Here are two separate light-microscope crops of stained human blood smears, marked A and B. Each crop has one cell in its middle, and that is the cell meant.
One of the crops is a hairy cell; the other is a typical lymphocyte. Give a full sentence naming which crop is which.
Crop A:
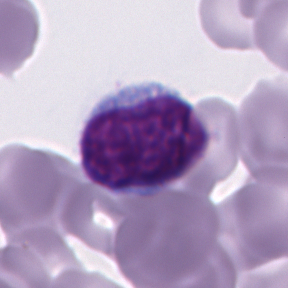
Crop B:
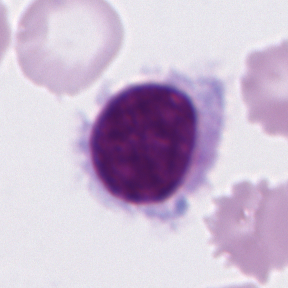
Crop A is a typical lymphocyte, and crop B is a hairy cell.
